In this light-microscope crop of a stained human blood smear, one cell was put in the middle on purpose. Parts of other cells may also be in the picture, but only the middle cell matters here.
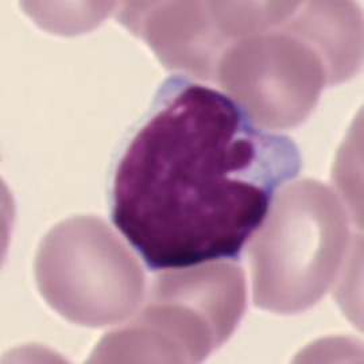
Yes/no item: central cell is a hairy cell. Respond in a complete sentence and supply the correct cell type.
No, what occupies the middle of the crop is a large granular lymphocyte and not a hairy cell.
